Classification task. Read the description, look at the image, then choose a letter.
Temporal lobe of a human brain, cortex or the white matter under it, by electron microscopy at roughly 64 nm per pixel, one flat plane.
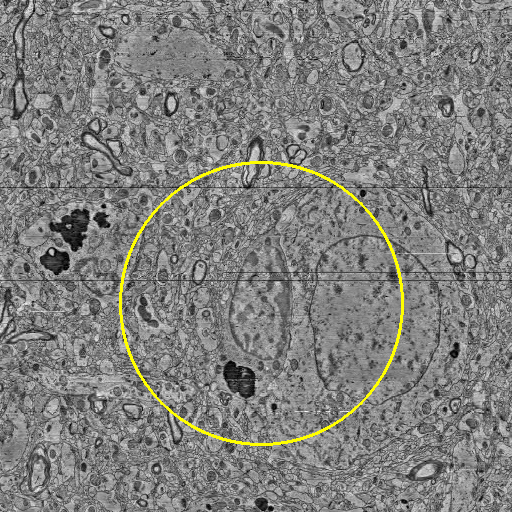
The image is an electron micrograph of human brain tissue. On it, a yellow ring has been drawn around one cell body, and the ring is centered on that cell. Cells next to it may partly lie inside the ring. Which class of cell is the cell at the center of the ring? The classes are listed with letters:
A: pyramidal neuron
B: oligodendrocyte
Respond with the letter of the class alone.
B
